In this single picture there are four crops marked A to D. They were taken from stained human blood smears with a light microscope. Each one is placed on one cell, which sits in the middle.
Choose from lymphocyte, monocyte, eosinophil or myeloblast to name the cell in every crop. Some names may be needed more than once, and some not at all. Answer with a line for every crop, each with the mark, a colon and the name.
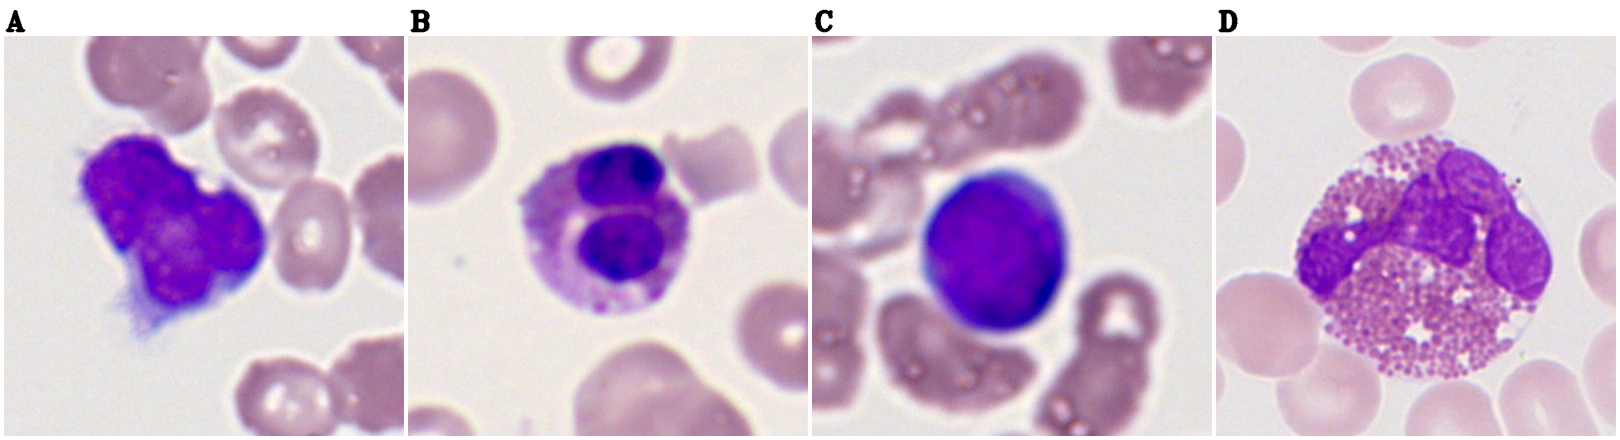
A: lymphocyte
B: eosinophil
C: myeloblast
D: eosinophil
